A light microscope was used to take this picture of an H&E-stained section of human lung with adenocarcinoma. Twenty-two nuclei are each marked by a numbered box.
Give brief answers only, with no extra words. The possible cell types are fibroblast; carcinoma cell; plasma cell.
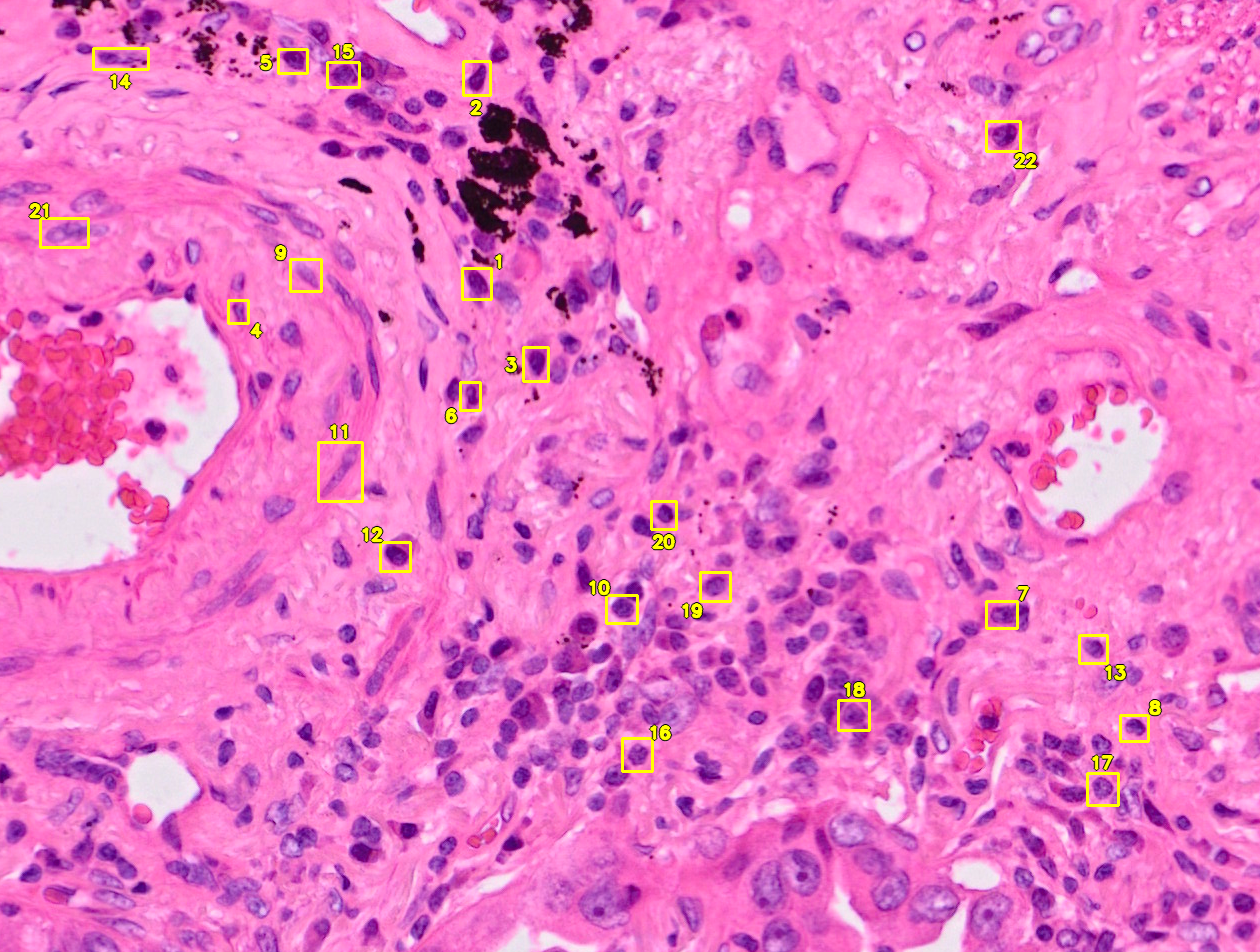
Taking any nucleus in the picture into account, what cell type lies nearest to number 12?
fibroblast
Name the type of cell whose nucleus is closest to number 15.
plasma cell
